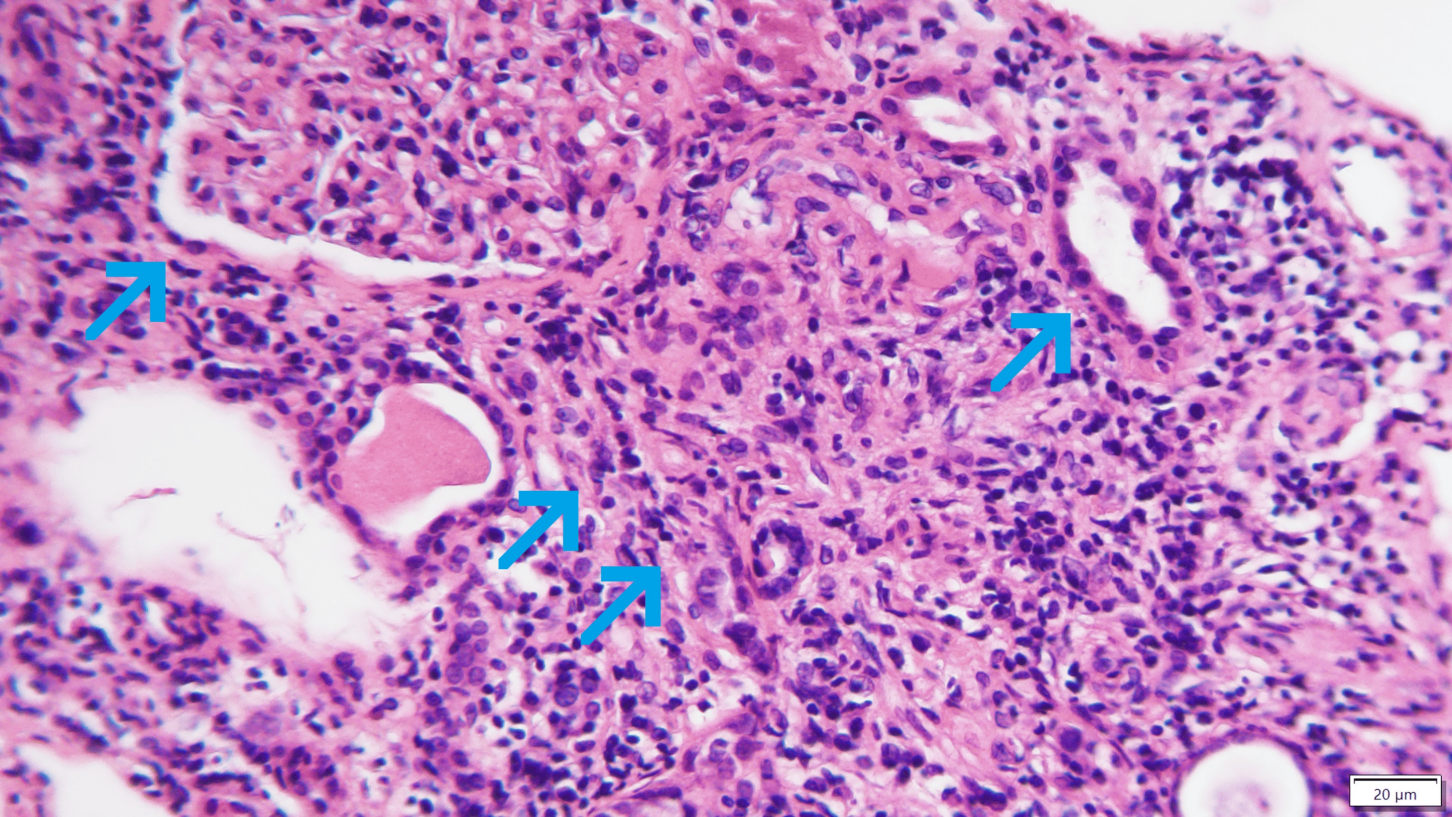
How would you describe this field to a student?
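Kidney tissue in which a glomerulus, several tubules and a widened renal interstitium can be seen. The glomerulus lies in the upper left as a lobulated, cell-rich tuft of capillary loops, separated from the surrounding tissue by a clear crescent of space. Tubules are lined by a single layer of epithelial cells around open lumina, and one contains a homogeneous pink cast. The interstitium between the tubules is expanded by pale pink connective-tissue bands. These bands run in swirling, whorled directions and carry spindle-shaped nuclei. Numerous small, dark round nuclei of inflammatory cells are densely scattered between them.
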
